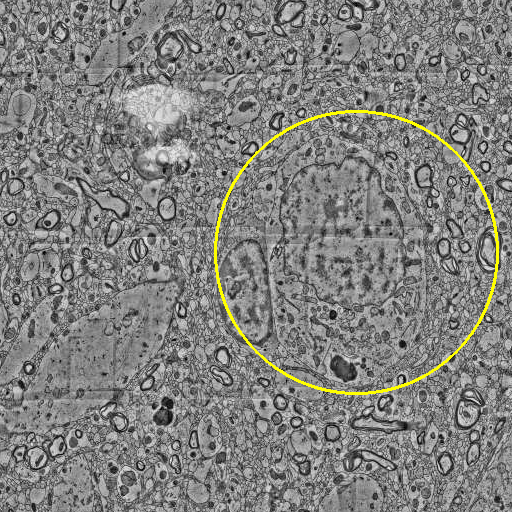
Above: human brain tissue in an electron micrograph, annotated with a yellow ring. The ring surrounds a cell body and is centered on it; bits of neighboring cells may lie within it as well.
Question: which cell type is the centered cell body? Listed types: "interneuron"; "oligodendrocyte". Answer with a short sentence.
The centered cell body is an interneuron.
